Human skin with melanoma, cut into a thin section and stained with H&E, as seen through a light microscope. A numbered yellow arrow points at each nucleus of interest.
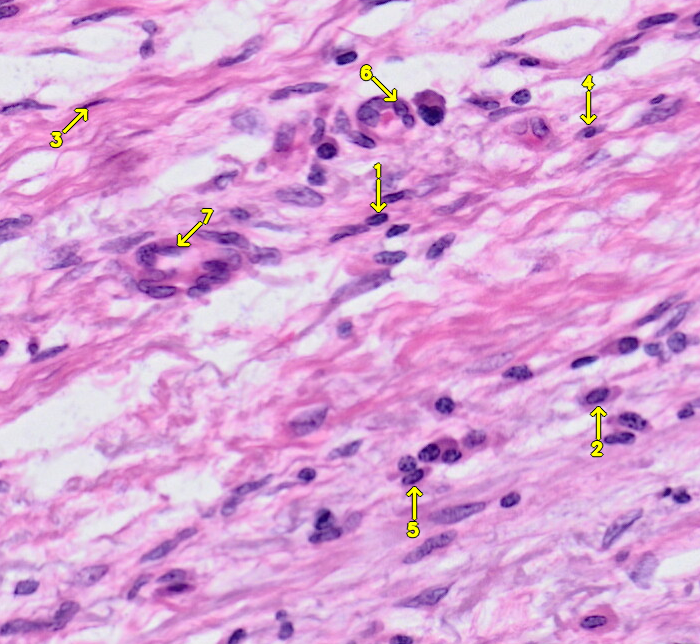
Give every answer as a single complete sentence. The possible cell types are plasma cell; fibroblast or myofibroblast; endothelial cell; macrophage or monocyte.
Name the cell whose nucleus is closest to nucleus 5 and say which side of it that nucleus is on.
The nearest nucleus is that of a plasma cell and lies above and to the left of nucleus 5.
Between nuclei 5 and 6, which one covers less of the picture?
With nucleus 5 about 1.5 times its size, nucleus 6 is the smaller of the two.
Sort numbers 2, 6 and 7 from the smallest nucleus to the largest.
From smallest to largest, the order is 6, 7, 2.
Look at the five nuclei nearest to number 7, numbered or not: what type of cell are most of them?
The majority of the five nuclei closest to number 7 belong to endothelial cells.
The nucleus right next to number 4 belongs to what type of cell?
Closest to number 4 lies the nucleus of a fibroblast or myofibroblast.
